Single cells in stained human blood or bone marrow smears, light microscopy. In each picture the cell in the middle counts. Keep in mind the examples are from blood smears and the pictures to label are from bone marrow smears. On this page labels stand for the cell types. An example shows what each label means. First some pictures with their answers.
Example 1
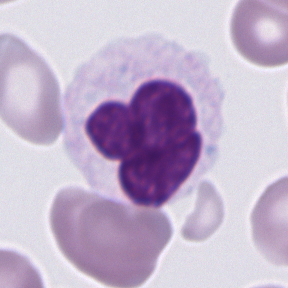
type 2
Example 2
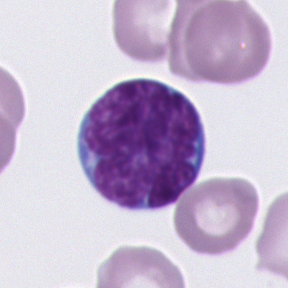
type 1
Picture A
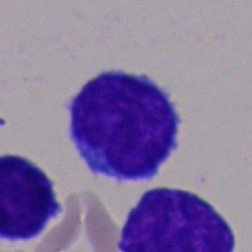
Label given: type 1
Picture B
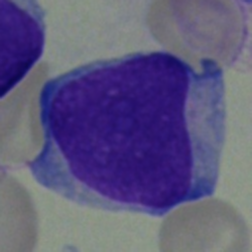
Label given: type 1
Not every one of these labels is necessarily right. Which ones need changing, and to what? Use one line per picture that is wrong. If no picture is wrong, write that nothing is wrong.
None of the labels needs changing.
